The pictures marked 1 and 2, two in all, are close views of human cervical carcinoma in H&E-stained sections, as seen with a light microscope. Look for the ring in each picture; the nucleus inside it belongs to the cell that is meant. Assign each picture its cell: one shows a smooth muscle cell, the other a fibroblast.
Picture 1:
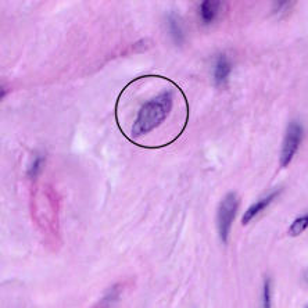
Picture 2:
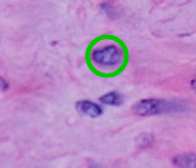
1: fibroblast
2: smooth muscle cell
